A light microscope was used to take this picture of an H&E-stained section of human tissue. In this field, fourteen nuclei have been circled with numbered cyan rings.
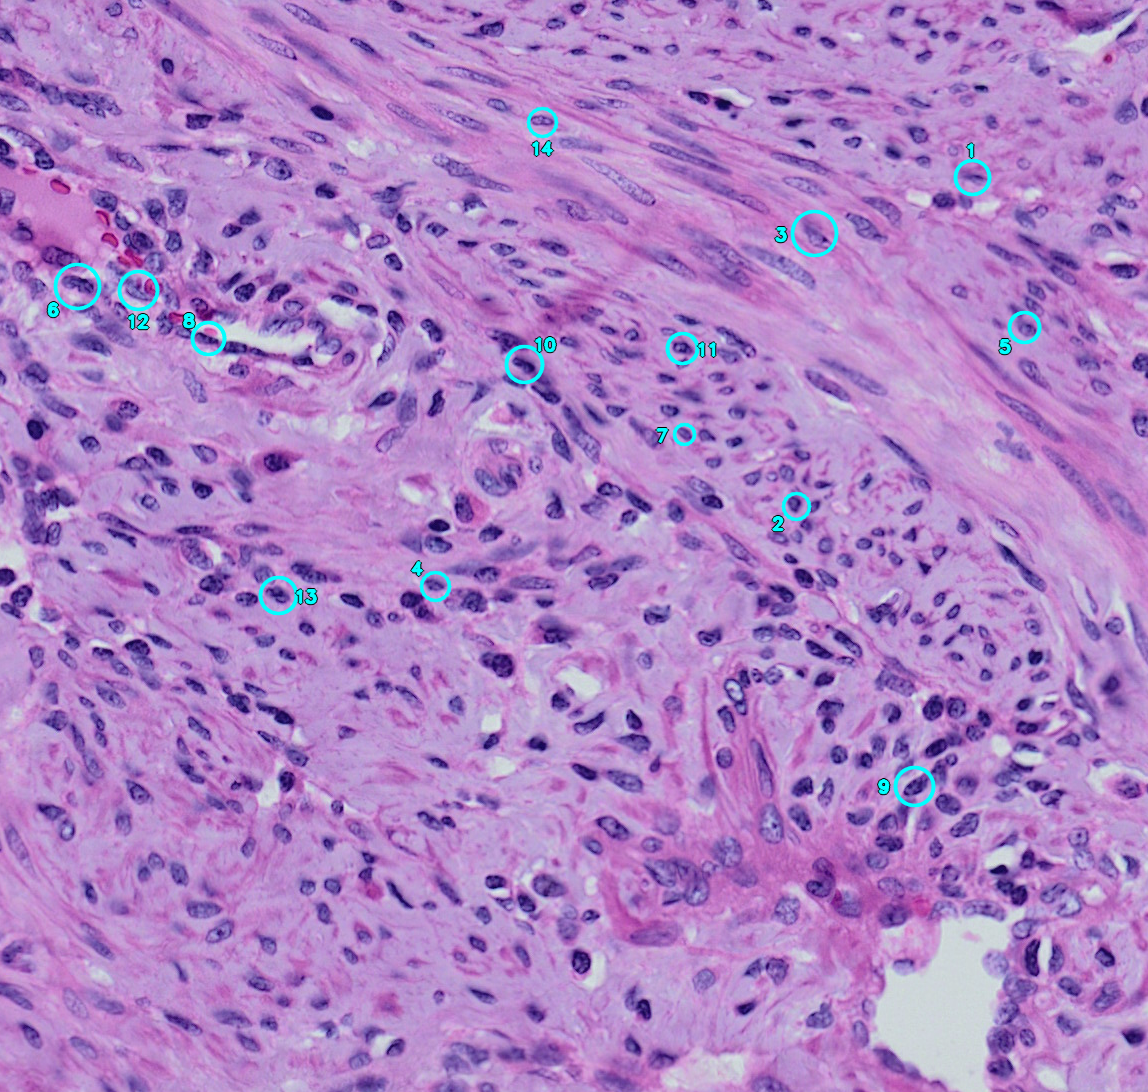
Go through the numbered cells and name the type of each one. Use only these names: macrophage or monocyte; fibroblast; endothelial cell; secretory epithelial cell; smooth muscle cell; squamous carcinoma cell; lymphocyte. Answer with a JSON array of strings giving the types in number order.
["smooth muscle cell", "smooth muscle cell", "smooth muscle cell", "lymphocyte", "smooth muscle cell", "lymphocyte", "smooth muscle cell", "endothelial cell", "lymphocyte", "lymphocyte", "smooth muscle cell", "endothelial cell", "lymphocyte", "smooth muscle cell"]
